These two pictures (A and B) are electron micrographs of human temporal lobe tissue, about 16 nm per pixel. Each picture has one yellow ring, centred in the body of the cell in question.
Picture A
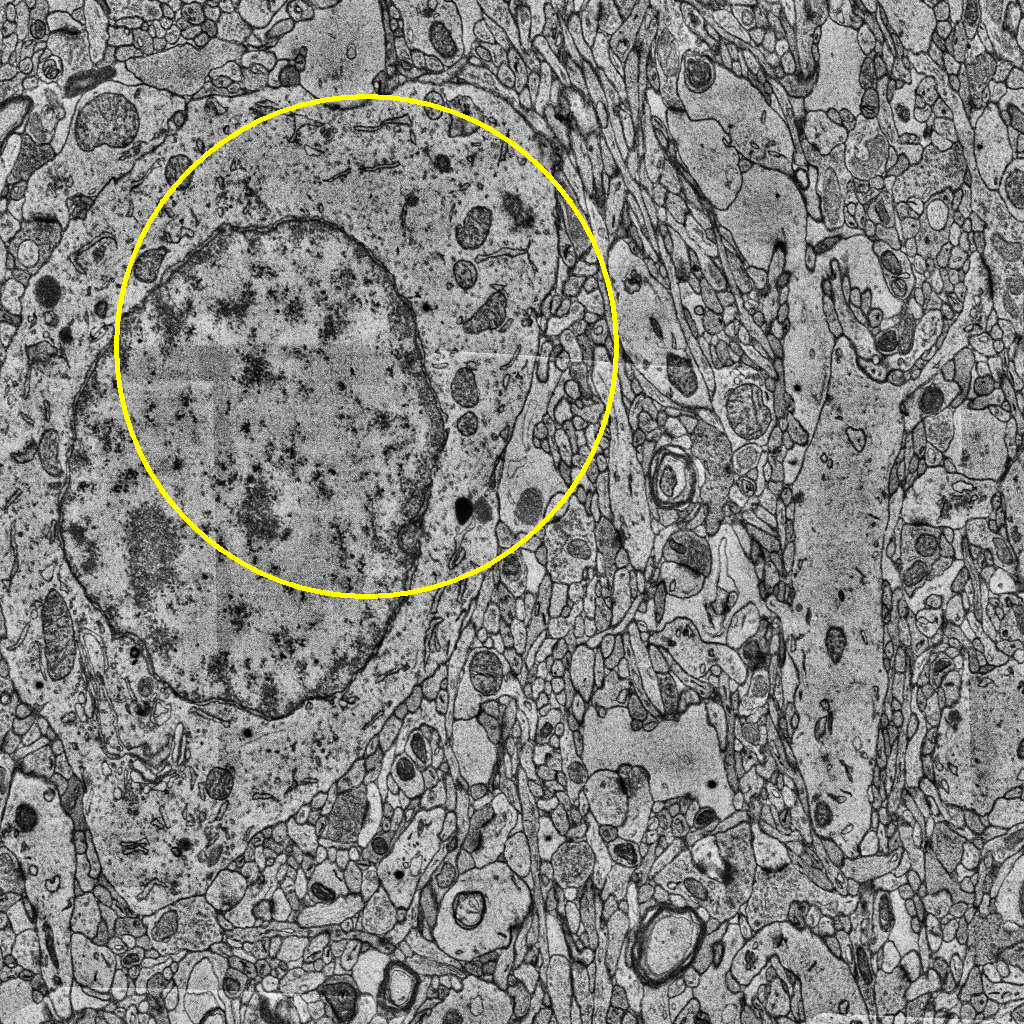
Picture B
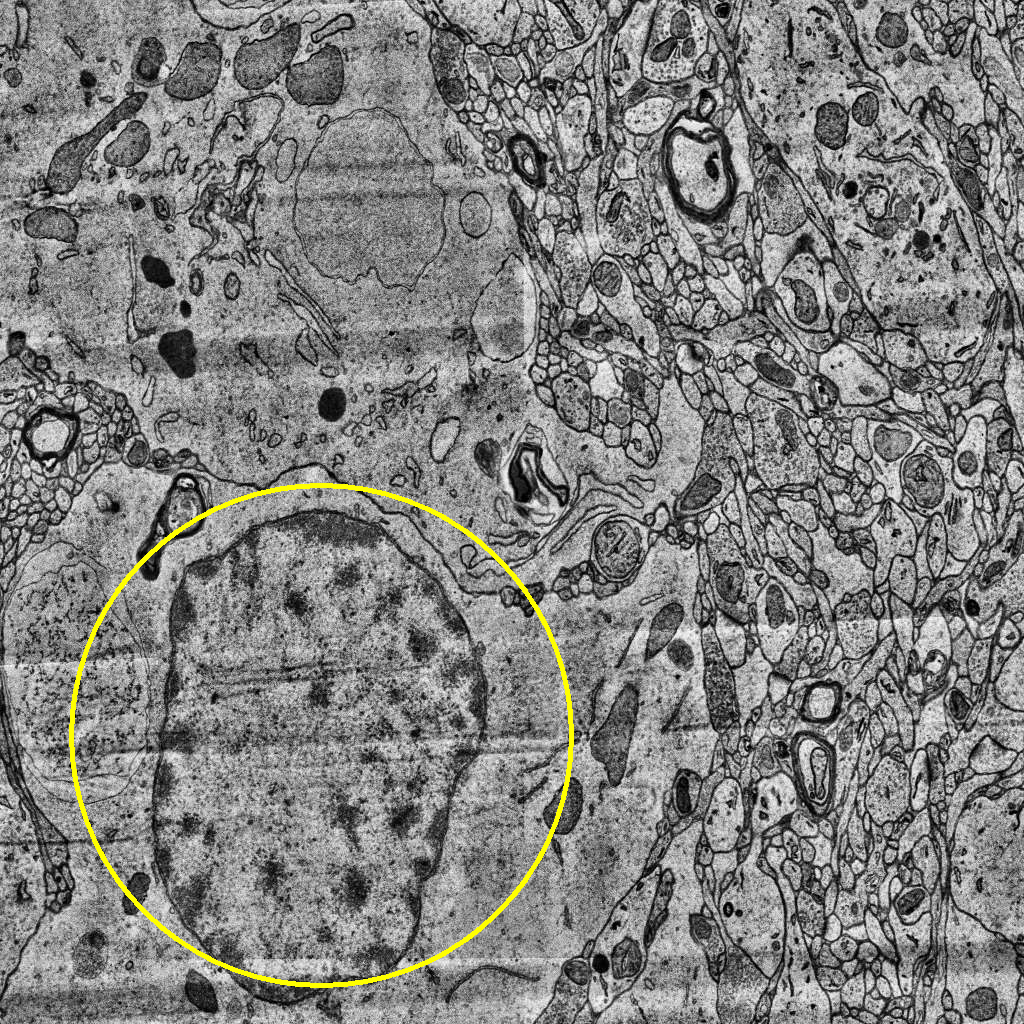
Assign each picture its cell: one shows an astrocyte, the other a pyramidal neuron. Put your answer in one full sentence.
In picture A the cell is a pyramidal neuron; in picture B, an astrocyte.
